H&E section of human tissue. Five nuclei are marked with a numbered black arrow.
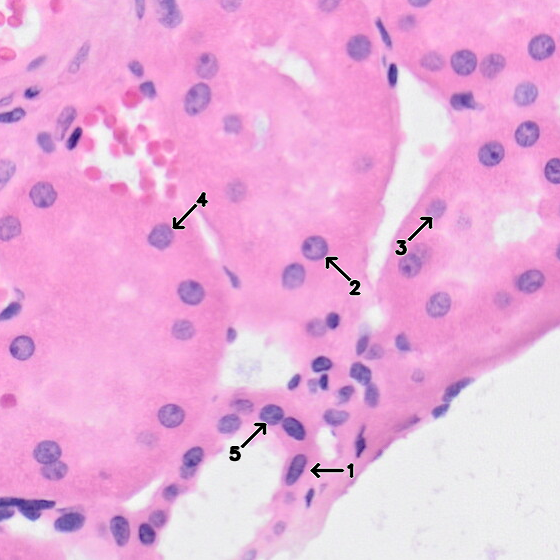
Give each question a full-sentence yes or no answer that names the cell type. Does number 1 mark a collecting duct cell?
Yes, that is so; number 1 marks a collecting duct cell.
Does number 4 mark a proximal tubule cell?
Yes, on this slide, the cell with number 4 is a proximal tubule cell.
